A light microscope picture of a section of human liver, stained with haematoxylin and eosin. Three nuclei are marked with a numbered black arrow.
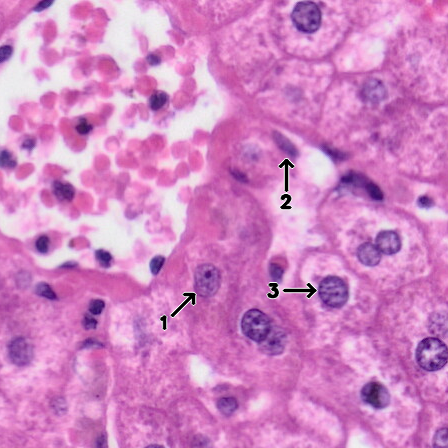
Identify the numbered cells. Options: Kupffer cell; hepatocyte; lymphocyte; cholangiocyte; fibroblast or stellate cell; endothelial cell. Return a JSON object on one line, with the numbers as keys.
{"1": "hepatocyte", "2": "Kupffer cell", "3": "hepatocyte"}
